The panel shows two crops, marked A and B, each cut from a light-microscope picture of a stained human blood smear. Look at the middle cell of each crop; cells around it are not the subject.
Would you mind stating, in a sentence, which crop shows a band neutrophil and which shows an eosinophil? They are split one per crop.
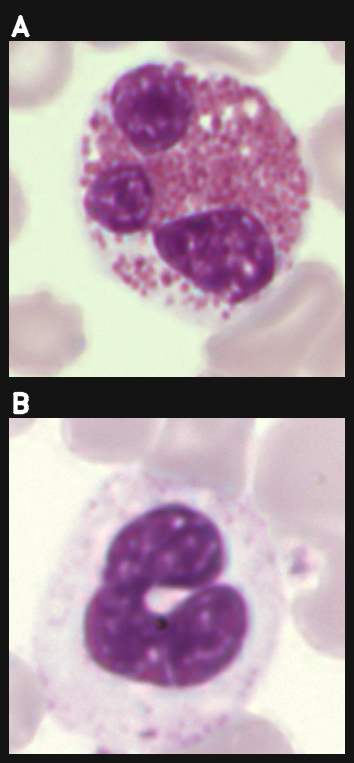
The middle of crop A is occupied by an eosinophil, and the middle of crop B by a band neutrophil.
